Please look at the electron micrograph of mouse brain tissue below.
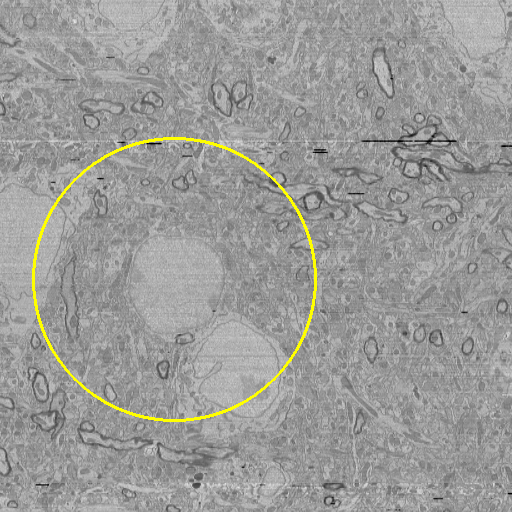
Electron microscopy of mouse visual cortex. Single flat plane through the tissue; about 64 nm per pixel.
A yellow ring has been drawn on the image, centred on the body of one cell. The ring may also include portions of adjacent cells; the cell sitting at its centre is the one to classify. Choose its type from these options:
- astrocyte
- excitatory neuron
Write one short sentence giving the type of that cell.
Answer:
The cell in the middle of the ring is an astrocyte.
